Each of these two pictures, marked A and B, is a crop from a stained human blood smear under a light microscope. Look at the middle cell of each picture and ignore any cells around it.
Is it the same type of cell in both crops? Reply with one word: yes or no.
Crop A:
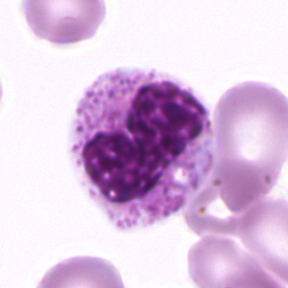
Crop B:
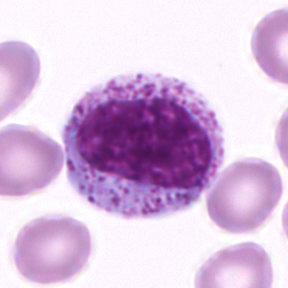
no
